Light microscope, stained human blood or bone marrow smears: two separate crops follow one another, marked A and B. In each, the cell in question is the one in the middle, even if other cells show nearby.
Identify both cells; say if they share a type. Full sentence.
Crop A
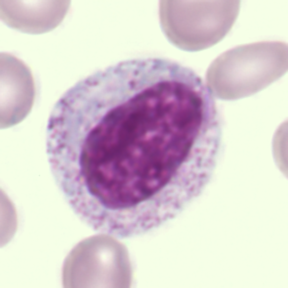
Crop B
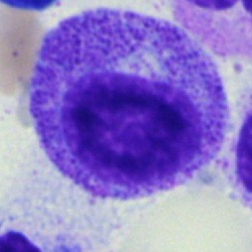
Yes, the cells that the two crops centre on are myelocytes.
